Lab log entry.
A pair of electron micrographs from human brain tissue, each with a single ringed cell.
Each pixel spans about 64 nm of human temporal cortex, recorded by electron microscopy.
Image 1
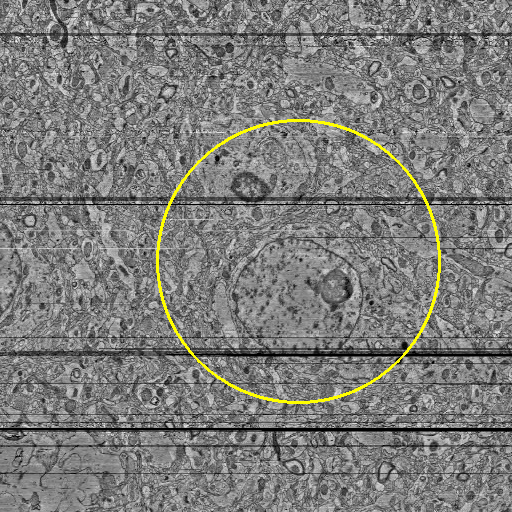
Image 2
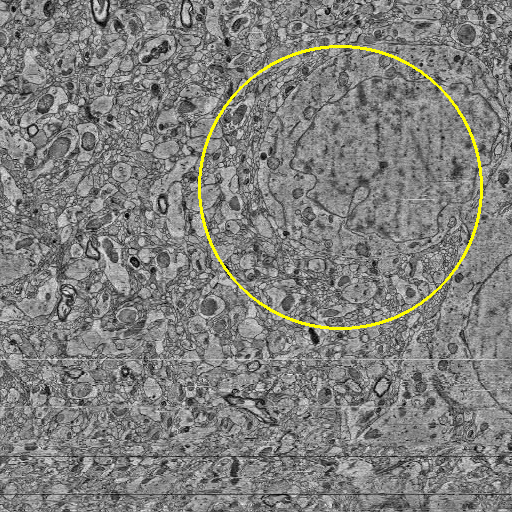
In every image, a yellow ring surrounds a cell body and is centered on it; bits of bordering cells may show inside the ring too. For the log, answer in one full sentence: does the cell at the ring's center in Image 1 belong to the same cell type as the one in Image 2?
No, the cells at the ring centers in Image 1 and Image 2 are of separate types.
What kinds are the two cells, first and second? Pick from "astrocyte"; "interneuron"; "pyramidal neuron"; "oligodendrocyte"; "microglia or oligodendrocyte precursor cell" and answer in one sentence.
The second picture holds an interneuron in its ring, and the first holds a pyramidal neuron.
